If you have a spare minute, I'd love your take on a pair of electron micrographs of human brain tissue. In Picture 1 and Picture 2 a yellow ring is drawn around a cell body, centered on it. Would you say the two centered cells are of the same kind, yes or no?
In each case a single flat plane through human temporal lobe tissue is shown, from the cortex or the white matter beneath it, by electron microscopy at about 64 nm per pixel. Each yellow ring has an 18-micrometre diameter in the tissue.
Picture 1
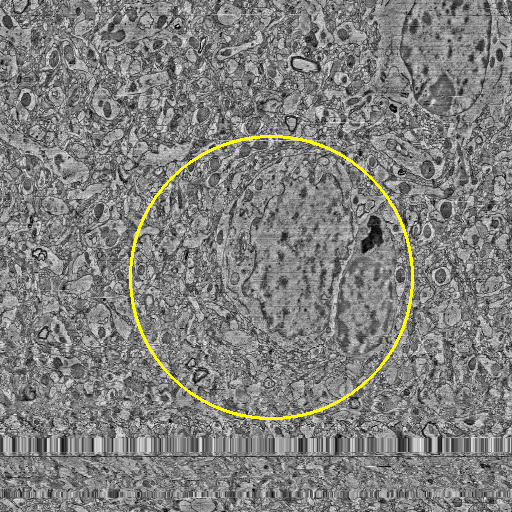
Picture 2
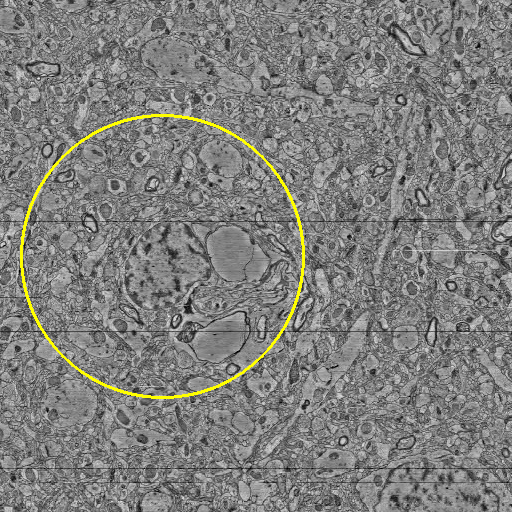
no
